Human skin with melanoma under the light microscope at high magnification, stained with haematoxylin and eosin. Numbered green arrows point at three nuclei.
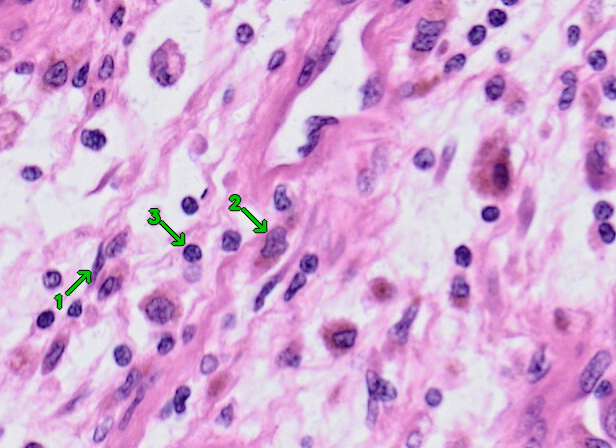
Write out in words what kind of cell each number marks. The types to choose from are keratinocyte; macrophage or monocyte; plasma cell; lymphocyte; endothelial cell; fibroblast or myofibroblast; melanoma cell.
Cell 1 is a fibroblast or myofibroblast. Cell 2 is a macrophage or monocyte. Cell 3 is a lymphocyte.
